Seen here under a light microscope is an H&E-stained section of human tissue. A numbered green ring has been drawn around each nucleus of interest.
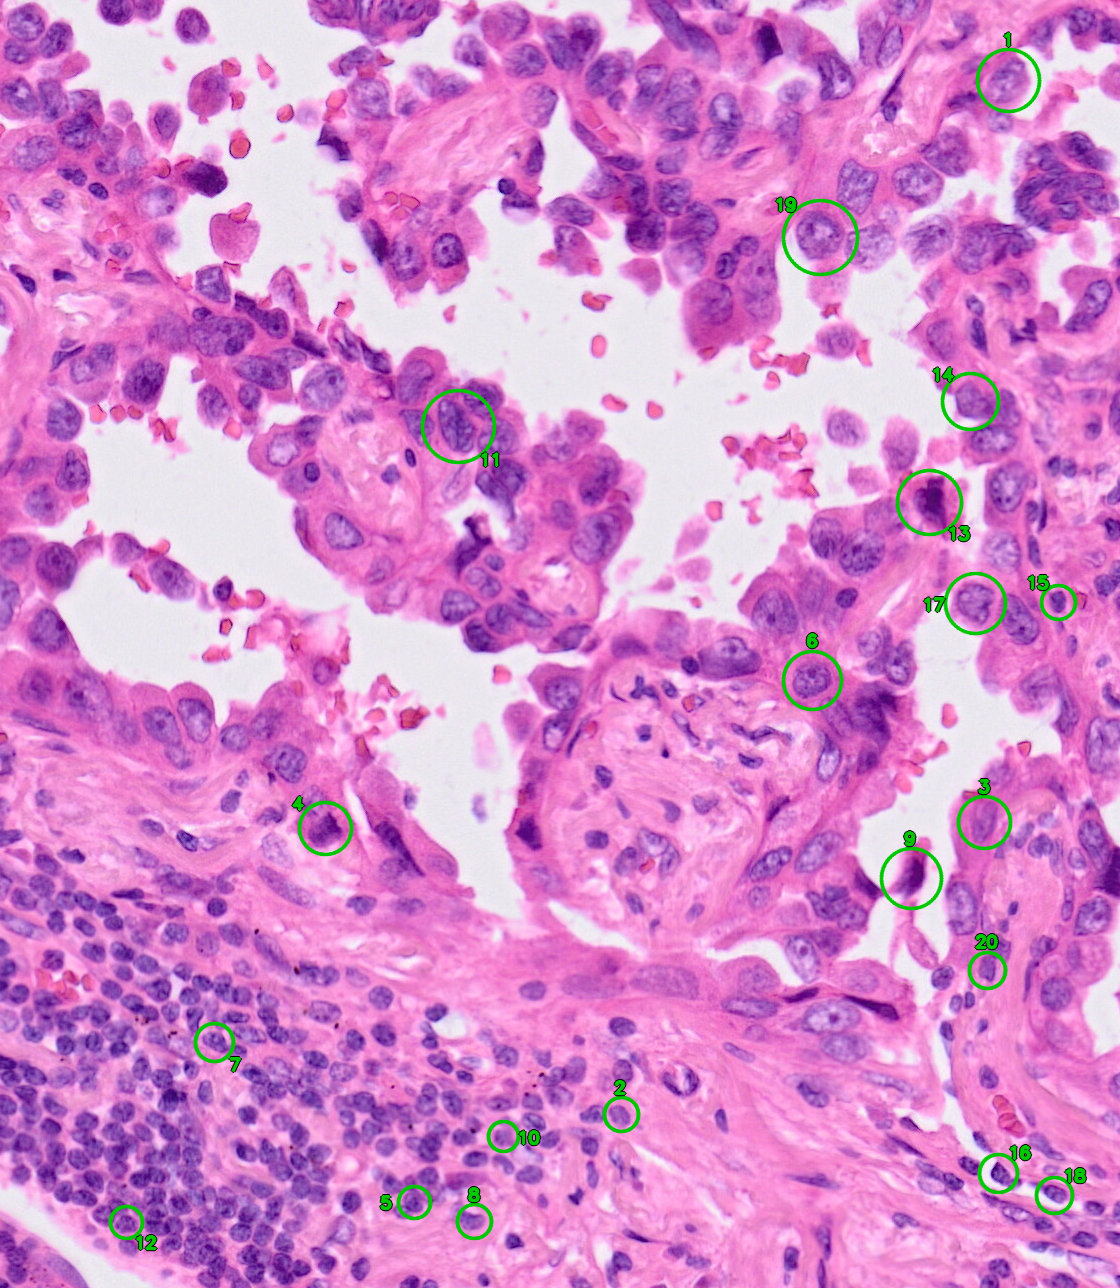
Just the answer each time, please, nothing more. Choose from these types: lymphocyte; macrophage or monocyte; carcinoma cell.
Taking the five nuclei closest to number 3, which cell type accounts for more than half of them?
lymphocyte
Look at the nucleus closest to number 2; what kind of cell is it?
lymphocyte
